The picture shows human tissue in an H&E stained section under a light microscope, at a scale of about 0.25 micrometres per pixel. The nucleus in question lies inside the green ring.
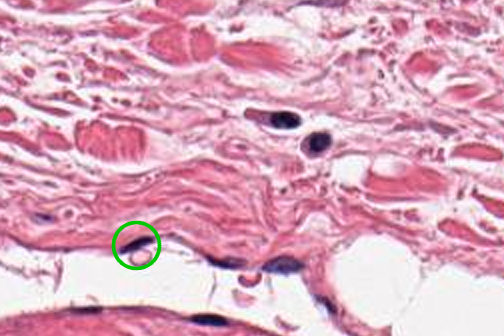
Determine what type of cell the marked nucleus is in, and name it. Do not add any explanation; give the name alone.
endothelial cell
